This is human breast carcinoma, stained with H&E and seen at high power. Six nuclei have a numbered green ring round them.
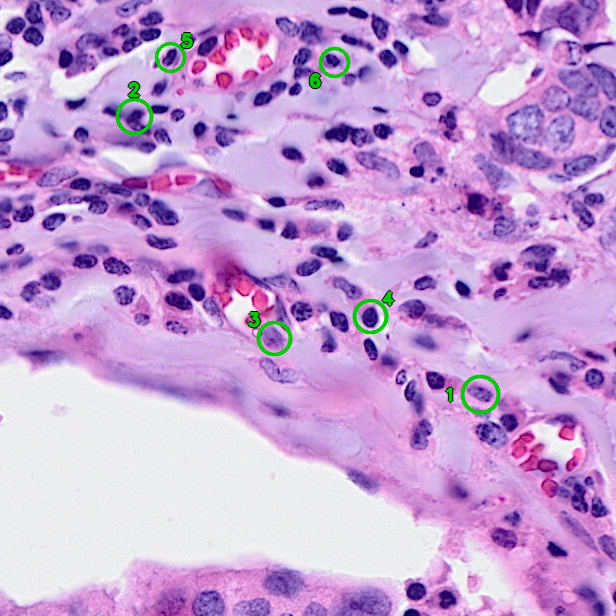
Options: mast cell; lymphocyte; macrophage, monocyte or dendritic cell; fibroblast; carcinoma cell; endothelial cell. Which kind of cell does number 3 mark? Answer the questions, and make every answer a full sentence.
Of the numbered cells, the one labelled 3 is an endothelial cell.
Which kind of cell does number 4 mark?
The marked nucleus 4 is that of a lymphocyte.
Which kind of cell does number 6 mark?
The correct label for cell 6 is a lymphocyte.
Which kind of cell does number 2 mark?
Cell 2, as marked in the section, is a lymphocyte.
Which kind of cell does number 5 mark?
The cell referred to as 5 is a lymphocyte.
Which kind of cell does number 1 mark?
The cell that carries the label 1 is a mast cell.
